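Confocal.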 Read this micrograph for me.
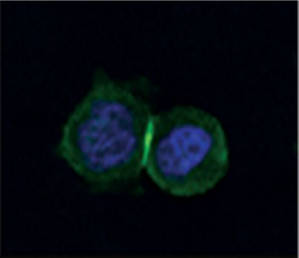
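Green fluorescence outlines each cell at its periphery, and a faint, finely granular green haze fills the cytoplasm. A brighter, straight green band lies where the two cells touch.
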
